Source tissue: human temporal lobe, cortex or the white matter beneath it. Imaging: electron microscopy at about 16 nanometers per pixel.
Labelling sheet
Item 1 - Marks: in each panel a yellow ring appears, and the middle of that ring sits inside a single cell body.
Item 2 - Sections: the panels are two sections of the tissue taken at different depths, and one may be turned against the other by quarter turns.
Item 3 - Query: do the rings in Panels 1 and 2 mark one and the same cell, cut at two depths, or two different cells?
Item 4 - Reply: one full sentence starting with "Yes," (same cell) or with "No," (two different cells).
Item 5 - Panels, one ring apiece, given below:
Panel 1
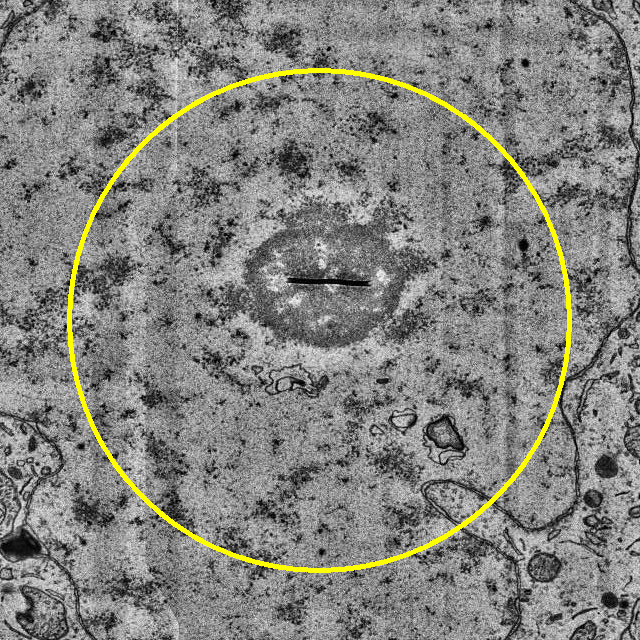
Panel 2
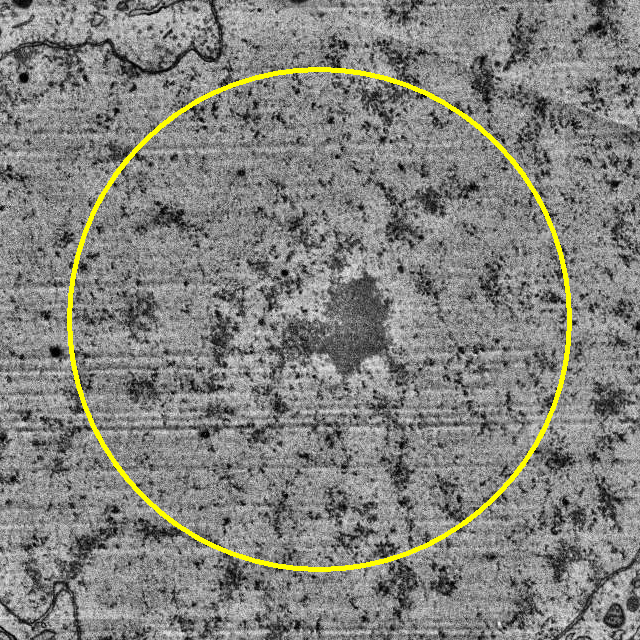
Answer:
Yes, a single cell is the subject of both yellow rings.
